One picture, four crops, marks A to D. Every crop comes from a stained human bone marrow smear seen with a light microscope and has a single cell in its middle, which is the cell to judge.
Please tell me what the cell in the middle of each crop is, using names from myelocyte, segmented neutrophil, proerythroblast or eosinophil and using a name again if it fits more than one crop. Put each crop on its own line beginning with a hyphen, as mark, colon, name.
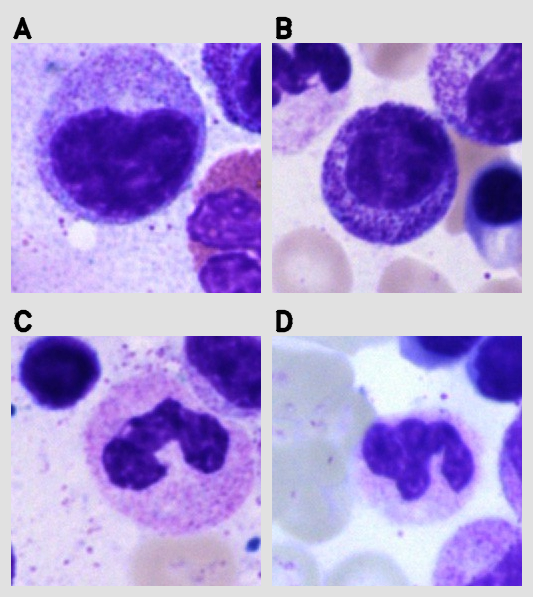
- A: myelocyte
- B: myelocyte
- C: segmented neutrophil
- D: segmented neutrophil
